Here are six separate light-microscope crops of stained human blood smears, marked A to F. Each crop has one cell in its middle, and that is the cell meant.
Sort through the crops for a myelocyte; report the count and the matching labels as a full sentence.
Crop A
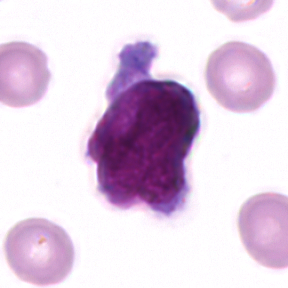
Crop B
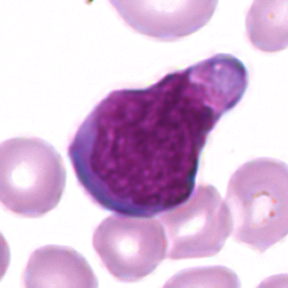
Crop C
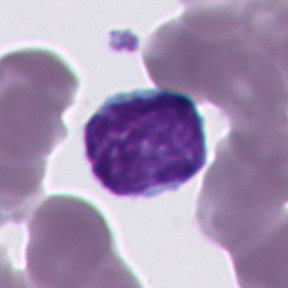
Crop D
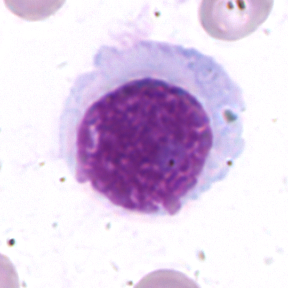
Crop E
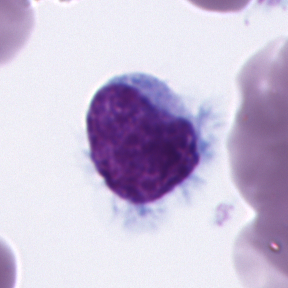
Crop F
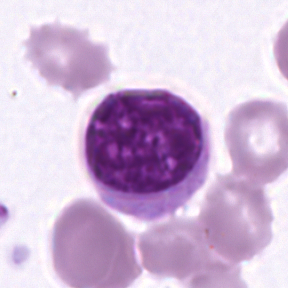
The count for myelocytes is zero, none of the crops showing any.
